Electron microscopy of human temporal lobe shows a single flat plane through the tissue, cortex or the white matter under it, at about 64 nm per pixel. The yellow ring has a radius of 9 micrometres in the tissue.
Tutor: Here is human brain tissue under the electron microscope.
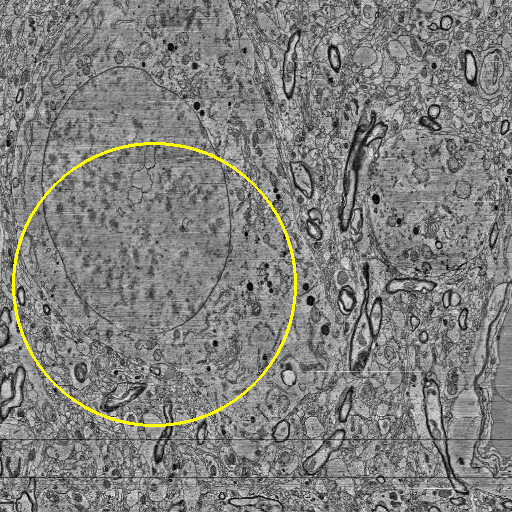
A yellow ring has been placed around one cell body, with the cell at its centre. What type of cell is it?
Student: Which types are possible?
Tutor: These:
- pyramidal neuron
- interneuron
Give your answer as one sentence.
What the ring picks out here is a pyramidal neuron.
